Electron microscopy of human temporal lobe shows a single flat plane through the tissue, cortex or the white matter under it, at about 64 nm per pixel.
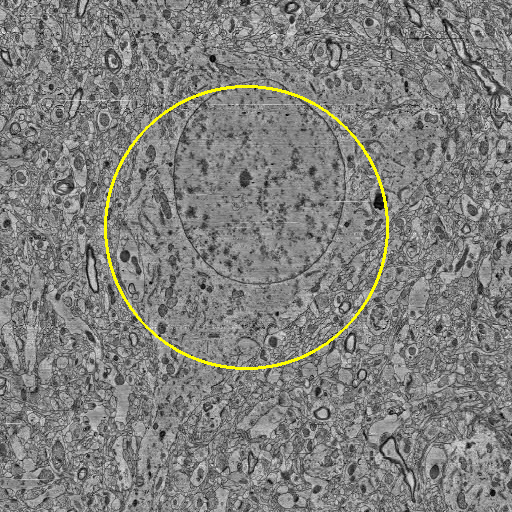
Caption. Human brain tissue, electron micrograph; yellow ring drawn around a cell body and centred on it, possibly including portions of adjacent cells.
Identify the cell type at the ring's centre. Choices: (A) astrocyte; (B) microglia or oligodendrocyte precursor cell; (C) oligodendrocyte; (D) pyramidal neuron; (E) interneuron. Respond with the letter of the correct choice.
D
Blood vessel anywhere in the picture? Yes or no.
No, no blood vessel can be seen.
